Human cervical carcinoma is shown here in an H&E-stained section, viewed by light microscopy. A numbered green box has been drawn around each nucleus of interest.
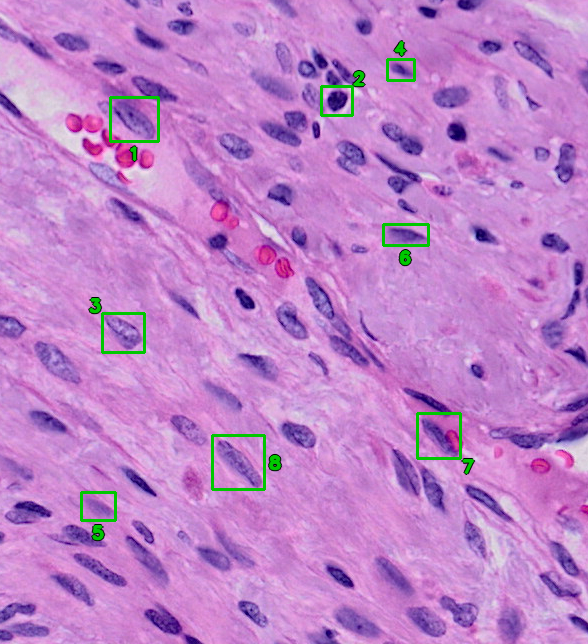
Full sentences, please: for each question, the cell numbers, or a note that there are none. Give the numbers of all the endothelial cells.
The cells that bear the numbers 1 and 7 are endothelial cells.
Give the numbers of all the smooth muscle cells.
It is only cell 3 that is a smooth muscle cell among the numbered cells.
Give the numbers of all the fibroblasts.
In terms of cell type, cells 4, 5, 6 and 8 are fibroblasts.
